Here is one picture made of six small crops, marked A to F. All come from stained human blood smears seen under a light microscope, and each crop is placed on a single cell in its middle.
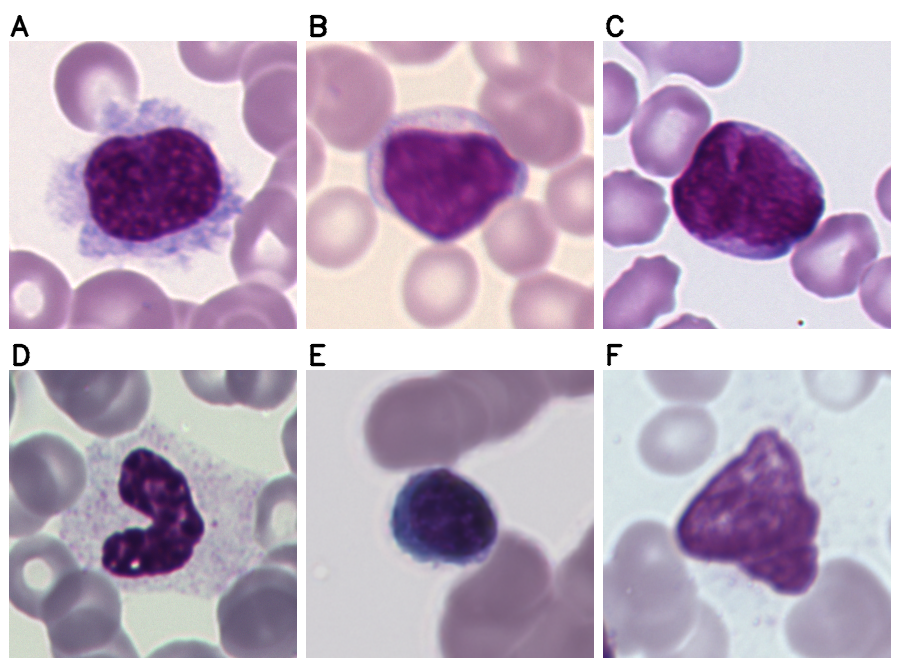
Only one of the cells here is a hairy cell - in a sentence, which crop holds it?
It is crop A that shows a hairy cell.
